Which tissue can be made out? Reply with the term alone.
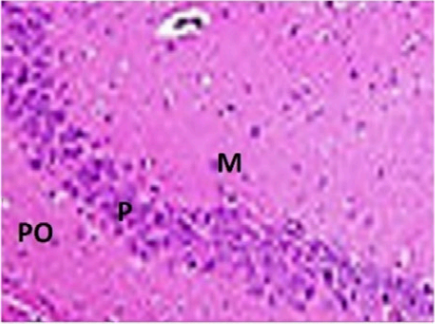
Hippocampus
